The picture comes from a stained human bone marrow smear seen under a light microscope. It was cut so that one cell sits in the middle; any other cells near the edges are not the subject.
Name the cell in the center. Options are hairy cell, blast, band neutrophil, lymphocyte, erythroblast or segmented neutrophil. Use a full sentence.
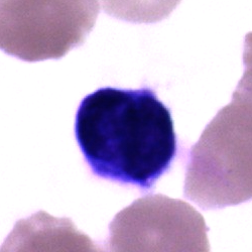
Of the cells in this crop, the central one is a lymphocyte.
